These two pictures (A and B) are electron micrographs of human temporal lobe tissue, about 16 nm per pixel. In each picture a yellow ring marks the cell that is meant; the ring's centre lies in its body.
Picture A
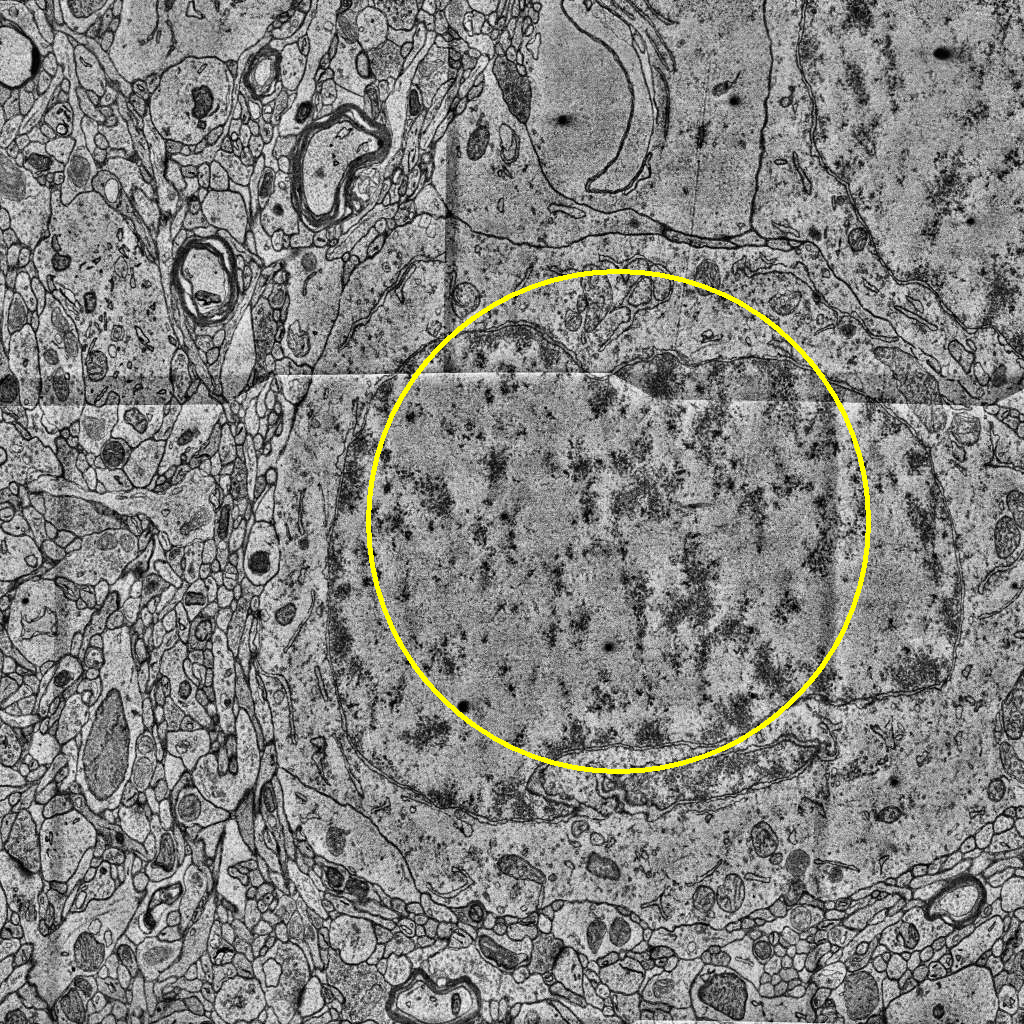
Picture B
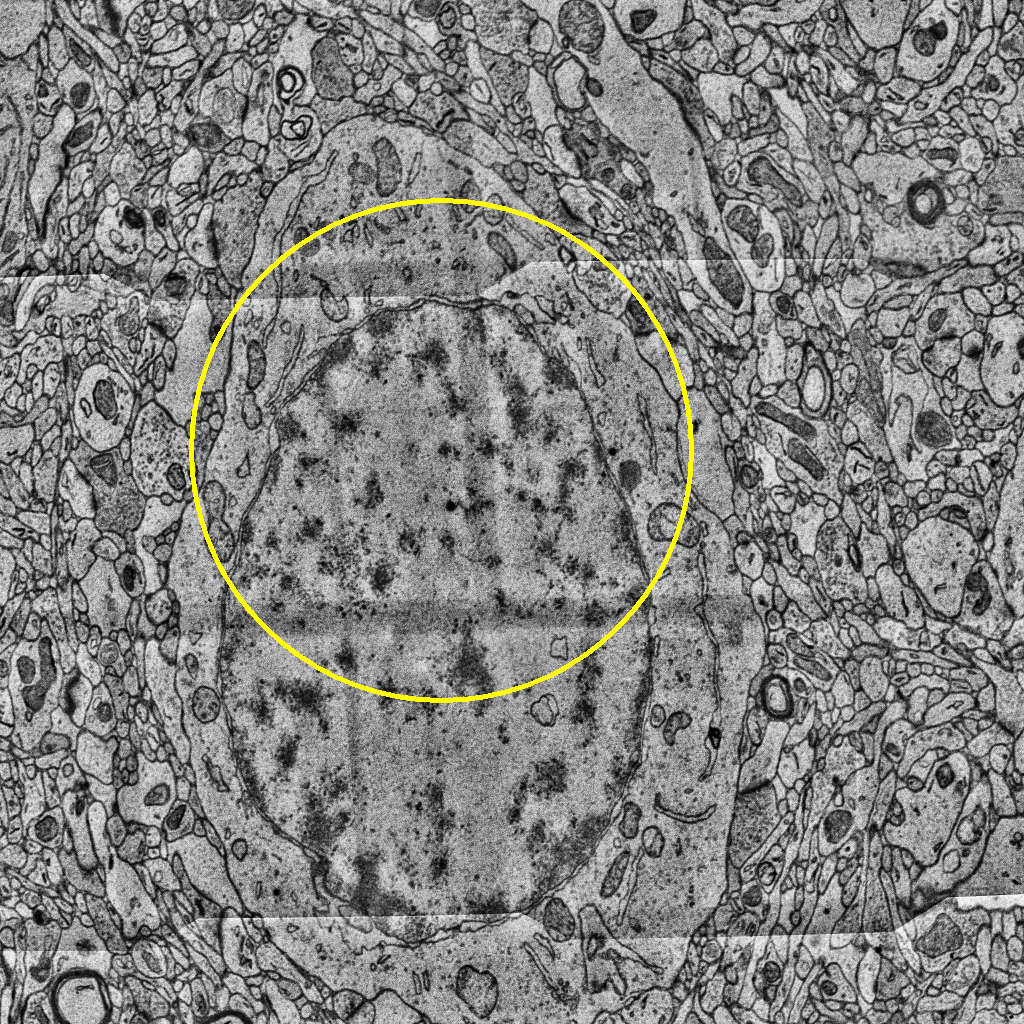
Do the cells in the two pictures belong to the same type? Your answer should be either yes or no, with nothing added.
yes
